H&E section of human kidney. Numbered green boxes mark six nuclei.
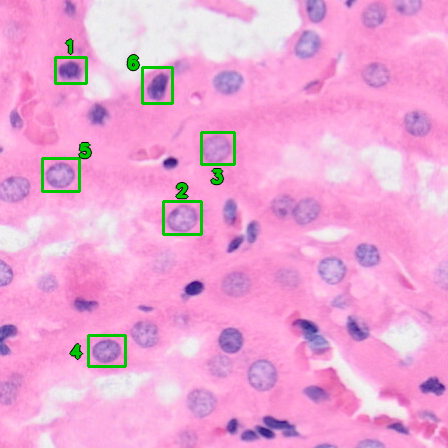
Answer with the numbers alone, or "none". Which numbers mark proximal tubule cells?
2, 3, 4, 5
